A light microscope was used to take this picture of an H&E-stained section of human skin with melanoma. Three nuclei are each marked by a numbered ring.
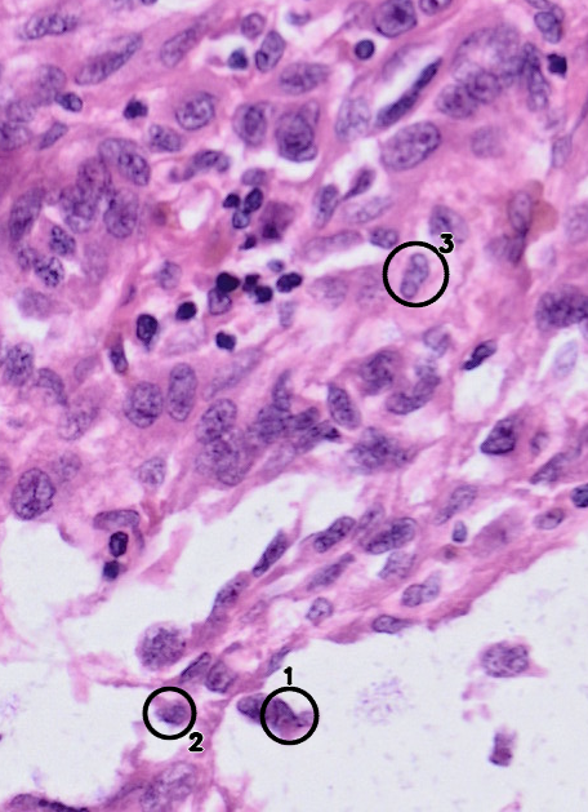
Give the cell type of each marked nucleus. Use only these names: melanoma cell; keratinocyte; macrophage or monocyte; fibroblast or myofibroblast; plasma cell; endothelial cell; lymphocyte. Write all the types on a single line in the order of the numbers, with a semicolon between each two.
melanoma cell; melanoma cell; macrophage or monocyte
